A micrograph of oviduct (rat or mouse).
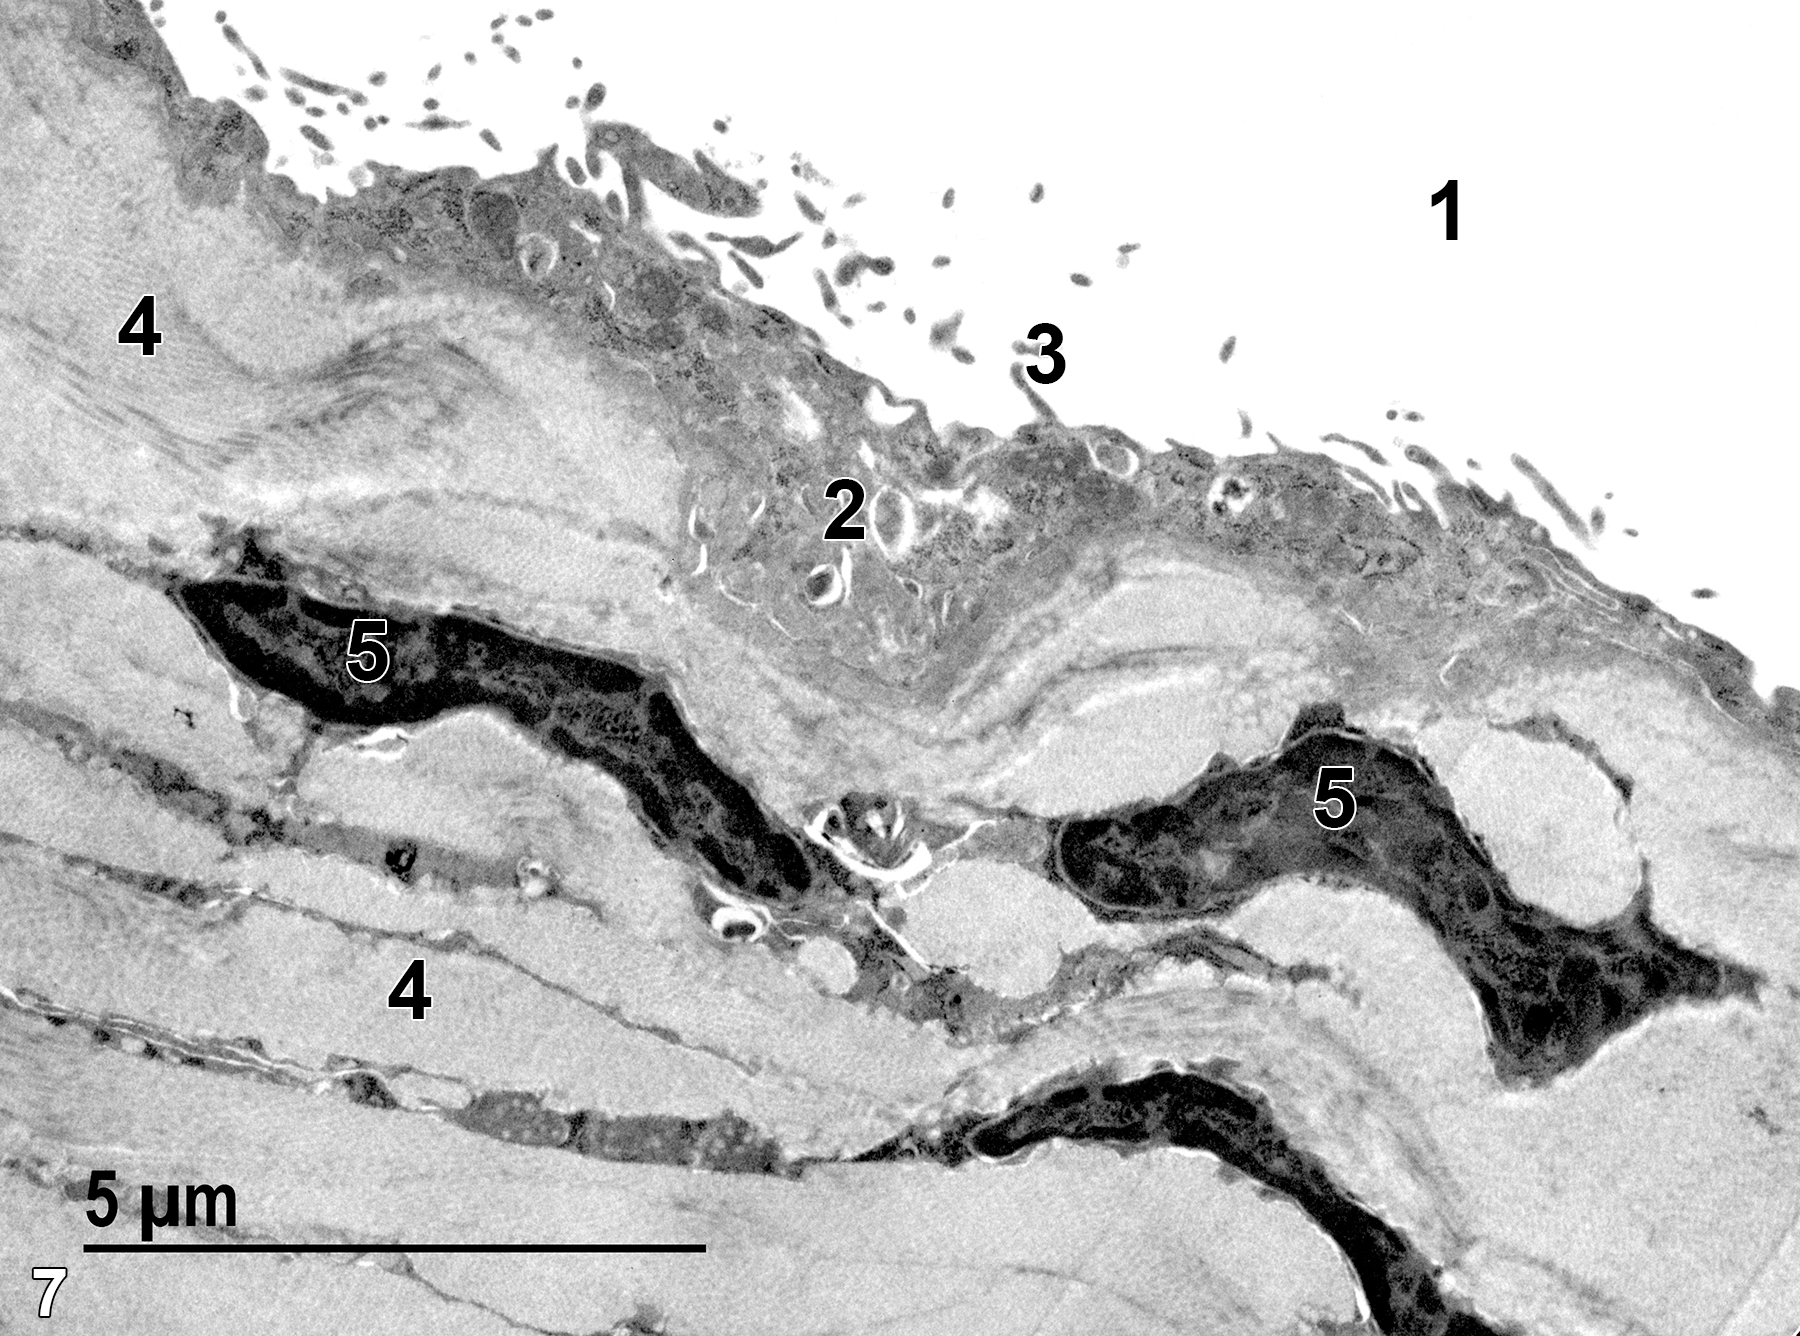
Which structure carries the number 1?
Peritoneal cavity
